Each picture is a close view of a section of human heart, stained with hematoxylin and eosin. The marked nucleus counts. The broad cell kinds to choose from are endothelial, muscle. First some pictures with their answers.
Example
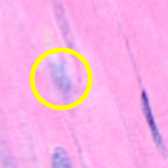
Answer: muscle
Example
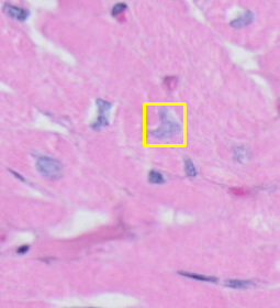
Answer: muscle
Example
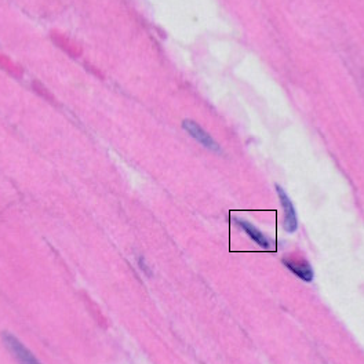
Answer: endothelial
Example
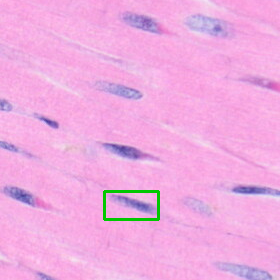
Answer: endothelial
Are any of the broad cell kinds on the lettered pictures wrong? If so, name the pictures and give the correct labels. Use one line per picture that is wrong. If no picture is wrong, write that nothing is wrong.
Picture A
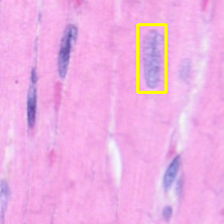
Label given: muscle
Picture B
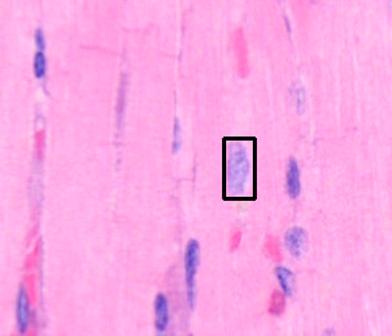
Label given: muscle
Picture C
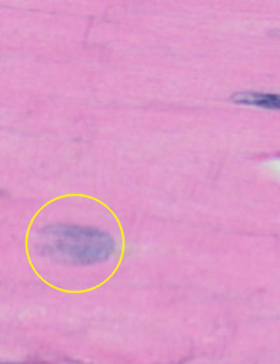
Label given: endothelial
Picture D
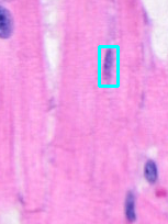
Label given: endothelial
C: change endothelial to muscle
